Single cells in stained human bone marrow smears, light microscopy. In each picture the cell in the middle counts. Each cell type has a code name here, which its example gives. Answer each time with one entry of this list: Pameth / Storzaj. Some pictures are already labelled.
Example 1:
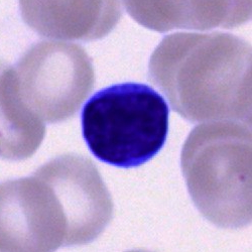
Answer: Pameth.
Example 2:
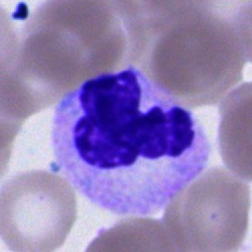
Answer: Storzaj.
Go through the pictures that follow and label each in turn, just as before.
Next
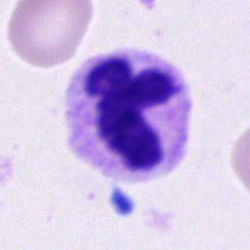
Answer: Storzaj.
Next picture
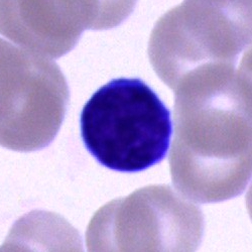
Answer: Pameth.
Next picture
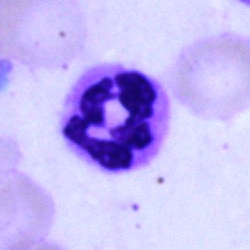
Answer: Storzaj.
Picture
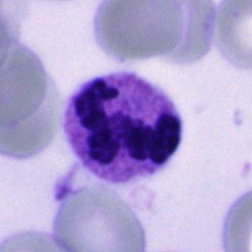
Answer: Storzaj.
